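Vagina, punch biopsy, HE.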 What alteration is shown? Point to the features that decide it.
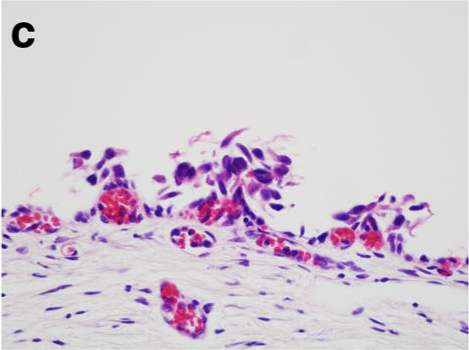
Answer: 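Mostly denuded. Only scattered cells and small clusters rest on the stromal surface. No continuous layered epithelium covers the stroma.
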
